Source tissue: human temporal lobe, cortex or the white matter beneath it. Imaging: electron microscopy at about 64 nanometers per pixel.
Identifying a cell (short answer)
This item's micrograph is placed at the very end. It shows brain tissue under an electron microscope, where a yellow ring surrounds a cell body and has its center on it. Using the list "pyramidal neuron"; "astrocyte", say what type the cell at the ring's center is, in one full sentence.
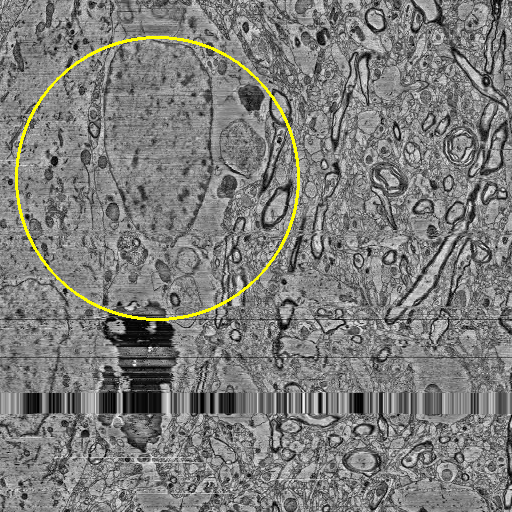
This picture shows an astrocyte at the center of the yellow ring drawn on it.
